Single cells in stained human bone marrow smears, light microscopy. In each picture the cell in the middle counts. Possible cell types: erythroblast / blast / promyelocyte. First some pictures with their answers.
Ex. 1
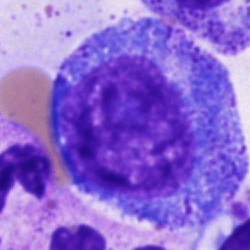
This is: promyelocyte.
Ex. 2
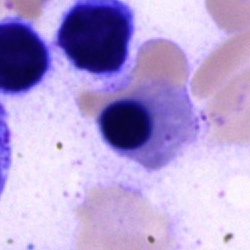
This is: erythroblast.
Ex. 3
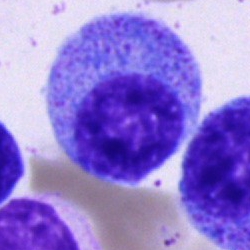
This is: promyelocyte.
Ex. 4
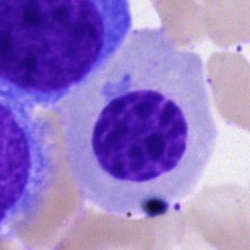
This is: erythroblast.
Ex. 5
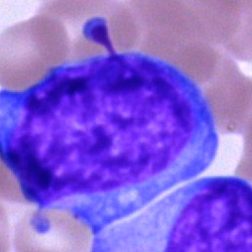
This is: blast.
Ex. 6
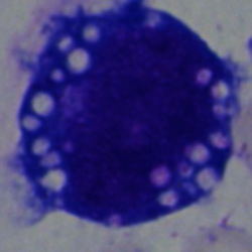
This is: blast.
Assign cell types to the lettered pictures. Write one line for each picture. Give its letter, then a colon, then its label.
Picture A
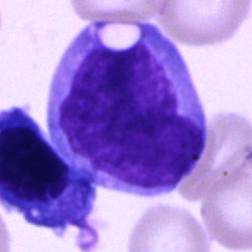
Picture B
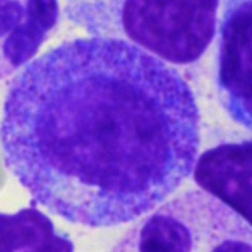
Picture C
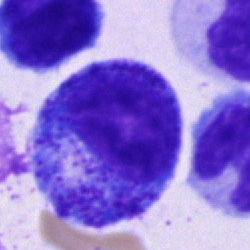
A: blast.
B: promyelocyte.
C: promyelocyte.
